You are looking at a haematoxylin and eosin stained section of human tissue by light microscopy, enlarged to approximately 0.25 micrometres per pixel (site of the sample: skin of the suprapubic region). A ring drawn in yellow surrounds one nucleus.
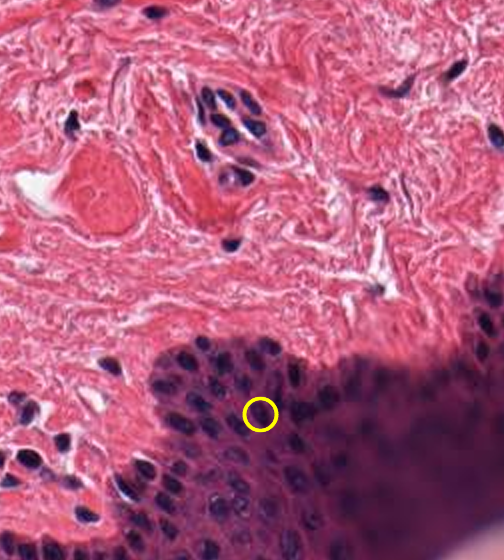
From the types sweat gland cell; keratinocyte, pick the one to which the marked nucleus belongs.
keratinocyte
